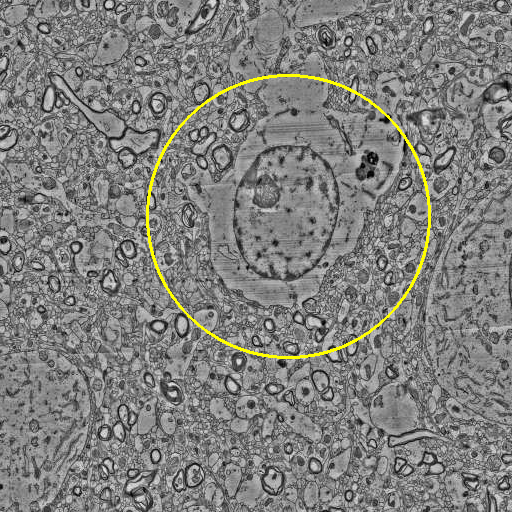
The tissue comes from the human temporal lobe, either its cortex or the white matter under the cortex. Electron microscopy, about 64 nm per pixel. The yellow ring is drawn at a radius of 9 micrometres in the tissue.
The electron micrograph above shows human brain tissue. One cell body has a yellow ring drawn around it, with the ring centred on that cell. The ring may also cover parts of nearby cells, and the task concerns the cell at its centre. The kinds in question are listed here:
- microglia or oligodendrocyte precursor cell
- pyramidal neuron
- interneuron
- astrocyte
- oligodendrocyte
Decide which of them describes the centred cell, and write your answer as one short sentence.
The centred cell is an astrocyte.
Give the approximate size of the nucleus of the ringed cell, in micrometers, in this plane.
In this plane, the nucleus of the cell at the centre of the ring measures about 9 by 7 micrometres.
